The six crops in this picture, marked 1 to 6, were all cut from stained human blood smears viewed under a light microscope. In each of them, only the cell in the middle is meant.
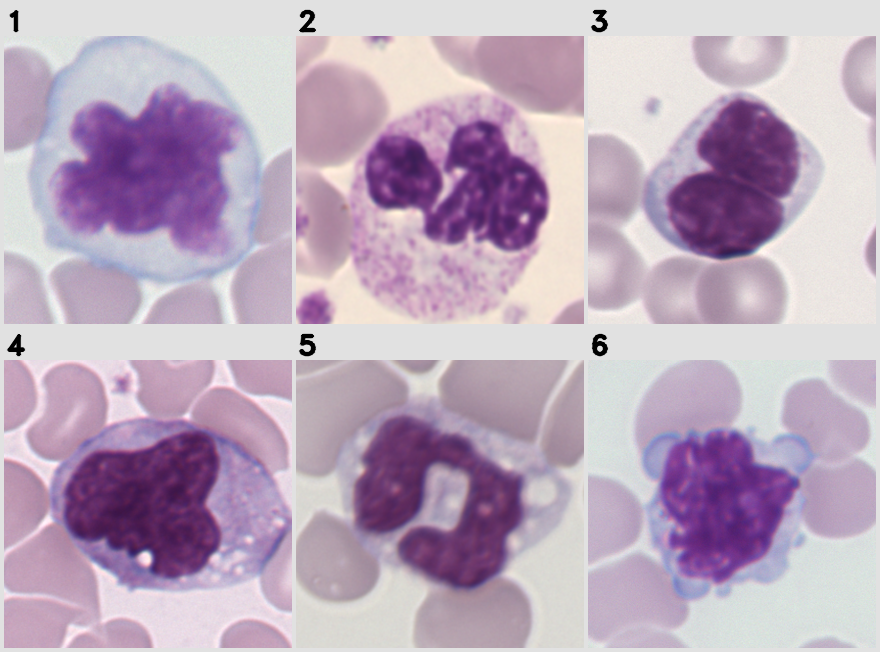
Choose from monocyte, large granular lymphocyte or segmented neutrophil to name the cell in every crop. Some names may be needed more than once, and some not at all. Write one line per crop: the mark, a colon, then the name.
1: monocyte
2: segmented neutrophil
3: large granular lymphocyte
4: monocyte
5: monocyte
6: monocyte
